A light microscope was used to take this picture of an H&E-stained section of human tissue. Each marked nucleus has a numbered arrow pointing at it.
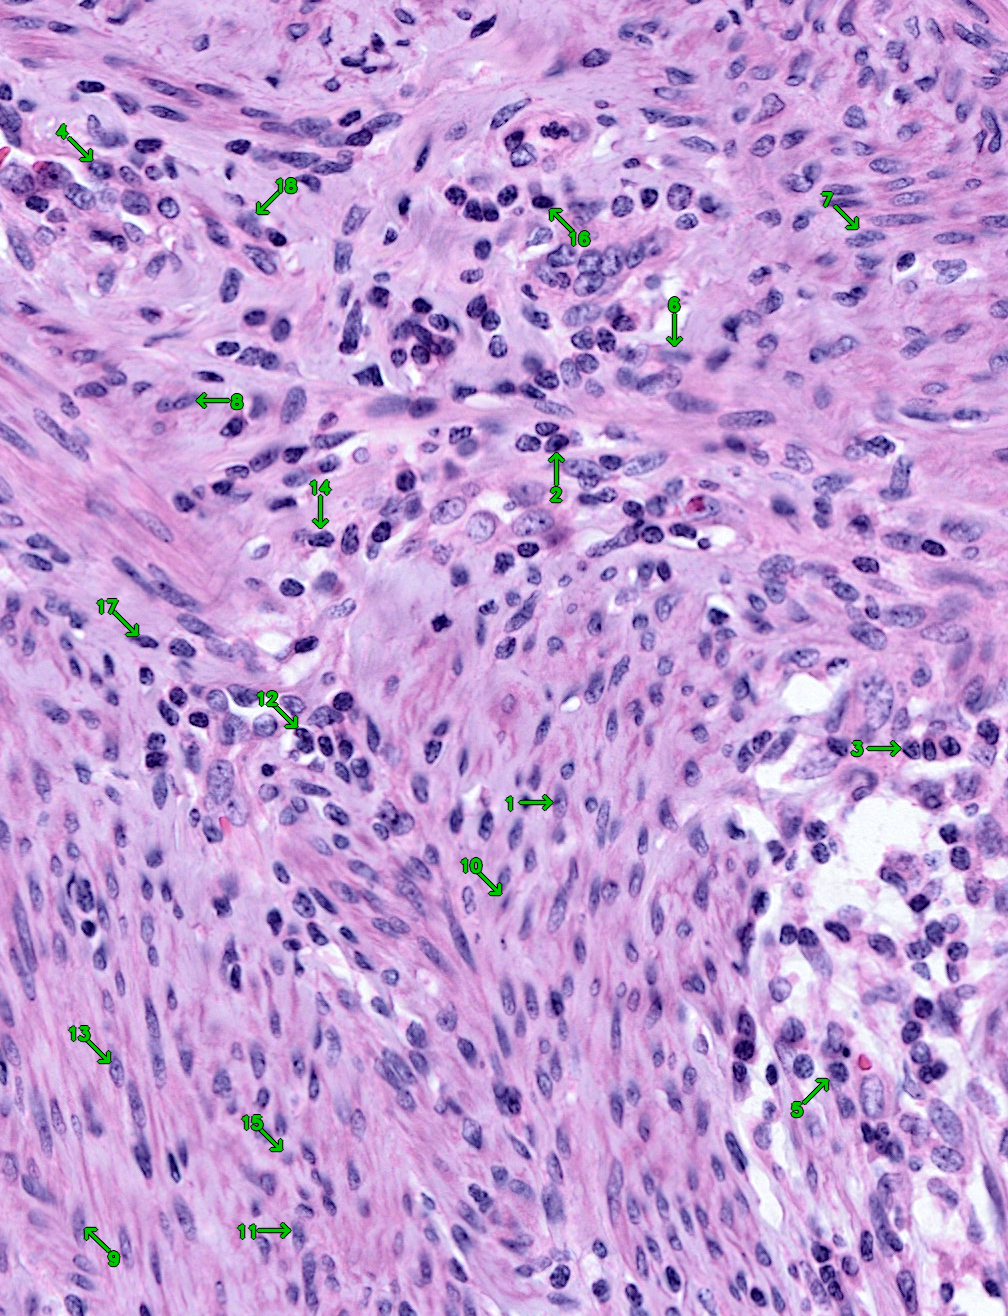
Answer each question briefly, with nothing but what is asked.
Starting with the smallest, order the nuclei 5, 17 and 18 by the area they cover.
17, 5, 18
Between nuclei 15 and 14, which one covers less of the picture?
15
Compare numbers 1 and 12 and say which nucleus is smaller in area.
12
